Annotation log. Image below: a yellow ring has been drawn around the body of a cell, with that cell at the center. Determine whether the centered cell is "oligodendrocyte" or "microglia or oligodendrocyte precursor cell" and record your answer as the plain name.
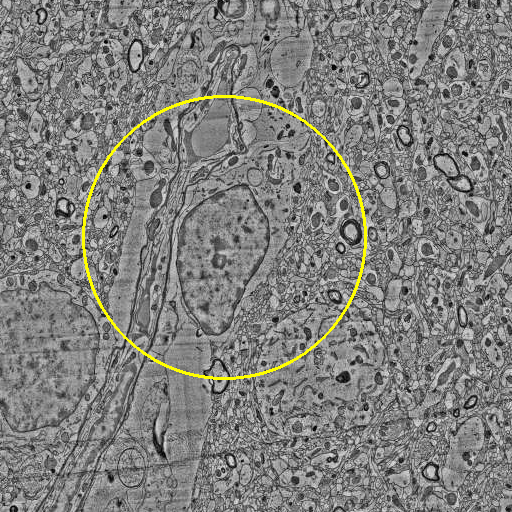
microglia or oligodendrocyte precursor cell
